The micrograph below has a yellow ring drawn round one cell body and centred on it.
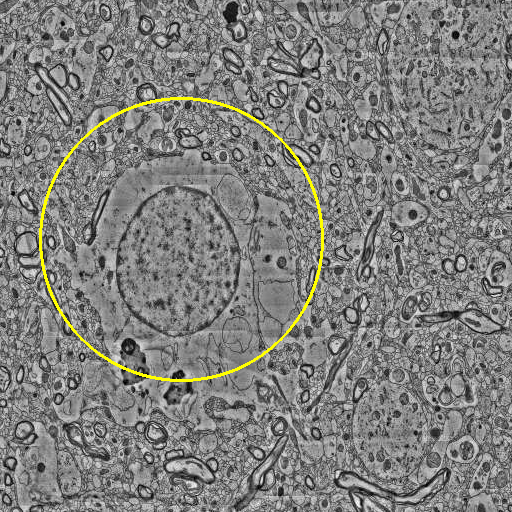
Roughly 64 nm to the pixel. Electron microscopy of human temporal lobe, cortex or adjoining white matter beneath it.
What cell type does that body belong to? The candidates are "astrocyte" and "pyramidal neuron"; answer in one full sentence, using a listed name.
This is an astrocyte, the cell whose body lies at the centre of the ring.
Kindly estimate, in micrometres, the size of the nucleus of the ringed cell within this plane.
Roughly 10 by 8 micrometres is the size of the nucleus in this plane.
